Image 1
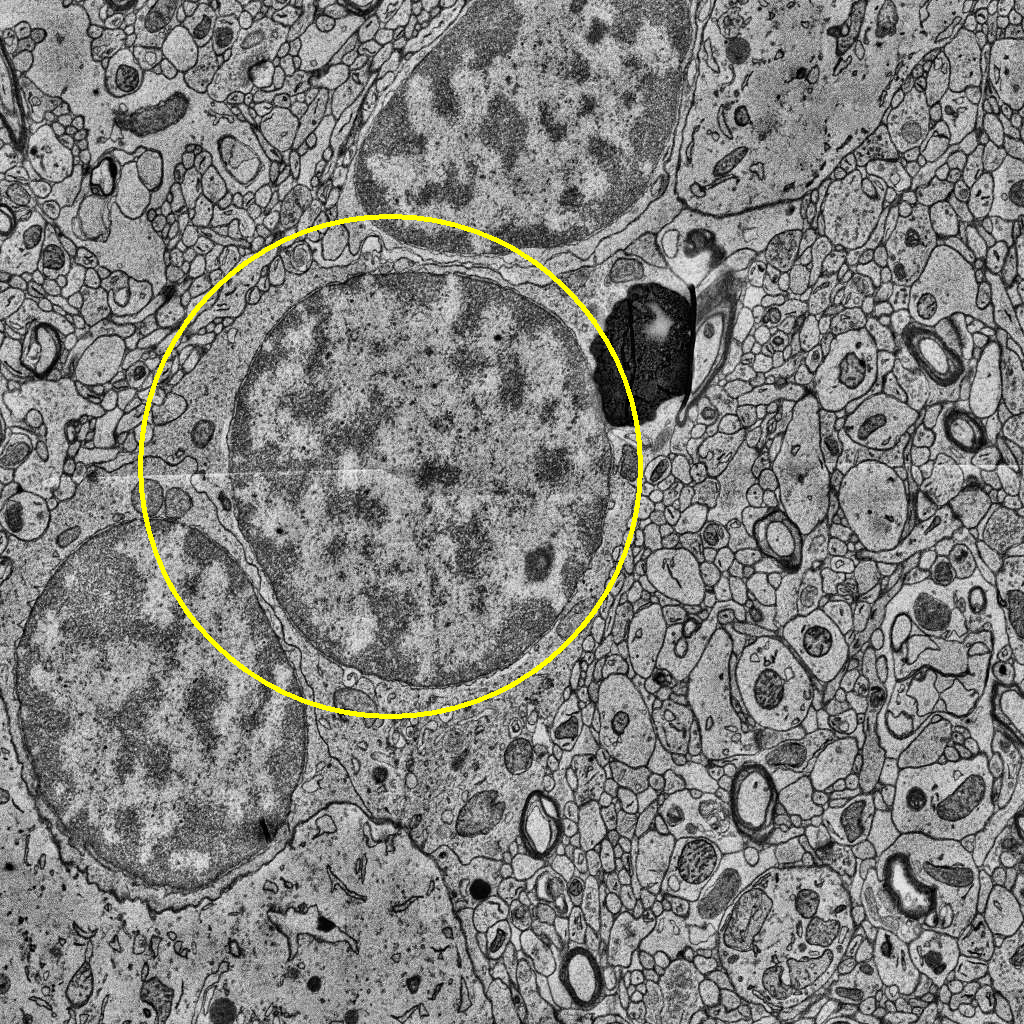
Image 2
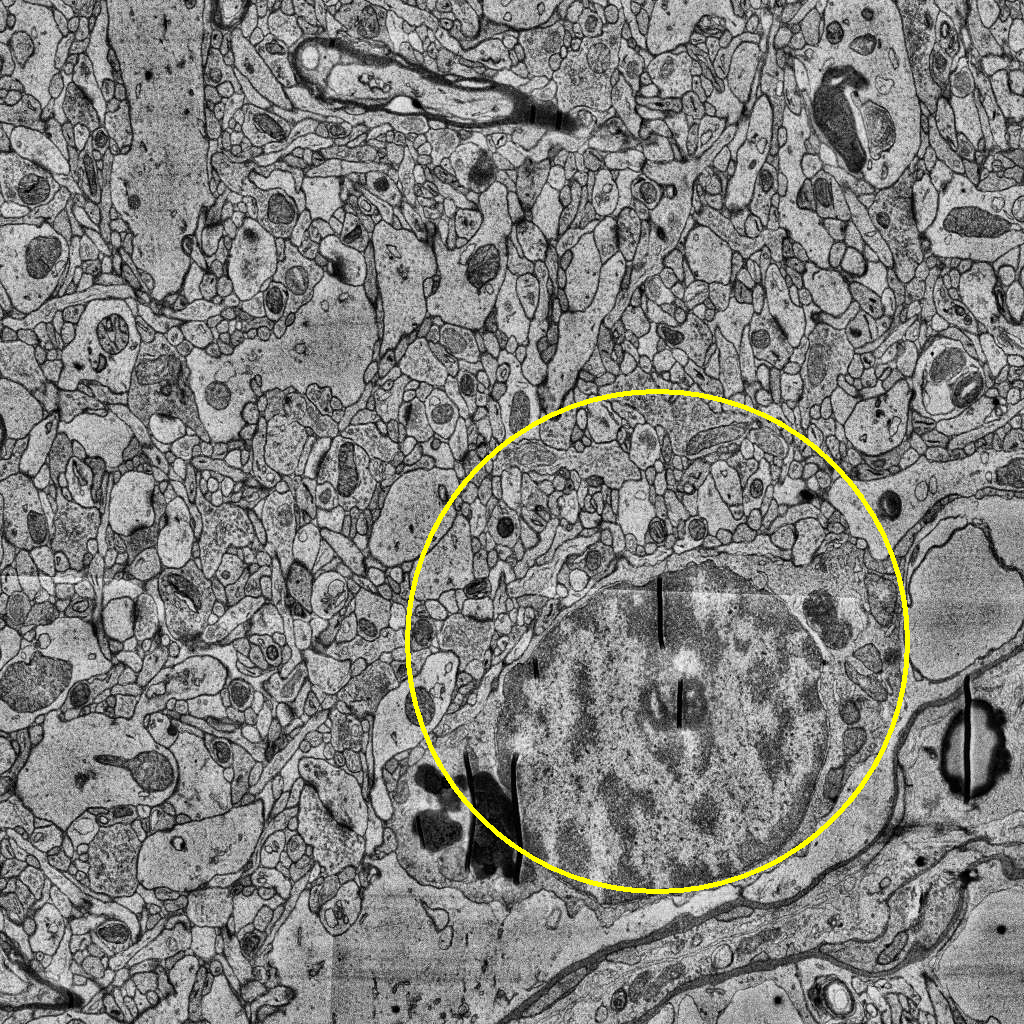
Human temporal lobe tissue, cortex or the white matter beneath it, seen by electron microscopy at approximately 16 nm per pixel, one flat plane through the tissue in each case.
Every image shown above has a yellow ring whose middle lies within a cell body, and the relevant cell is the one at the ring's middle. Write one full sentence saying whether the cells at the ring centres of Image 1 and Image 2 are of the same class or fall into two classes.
The cell at the ring's centre in Image 1 and its counterpart in Image 2 are of the same class.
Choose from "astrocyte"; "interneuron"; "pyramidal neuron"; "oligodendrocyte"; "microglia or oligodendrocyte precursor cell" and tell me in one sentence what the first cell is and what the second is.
The ring centre holds an oligodendrocyte in each of the two pictures.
